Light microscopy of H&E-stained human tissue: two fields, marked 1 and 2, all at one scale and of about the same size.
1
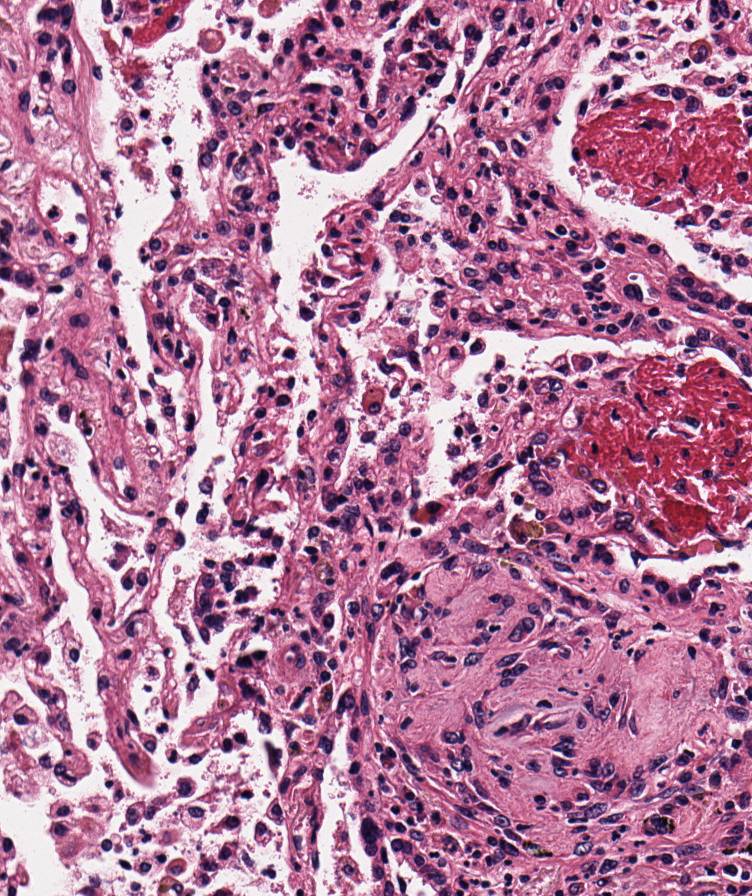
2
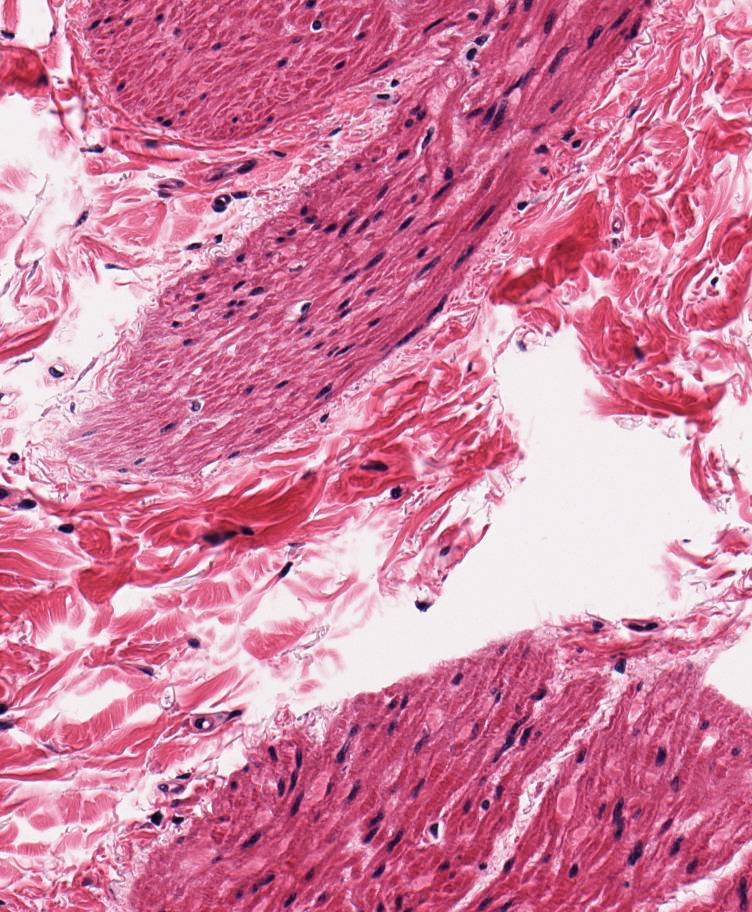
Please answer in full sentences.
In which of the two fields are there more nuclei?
More nuclei lie in field 1 than in field 2.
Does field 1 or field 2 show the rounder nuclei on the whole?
It is field 1 whose nuclei are the rounder.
